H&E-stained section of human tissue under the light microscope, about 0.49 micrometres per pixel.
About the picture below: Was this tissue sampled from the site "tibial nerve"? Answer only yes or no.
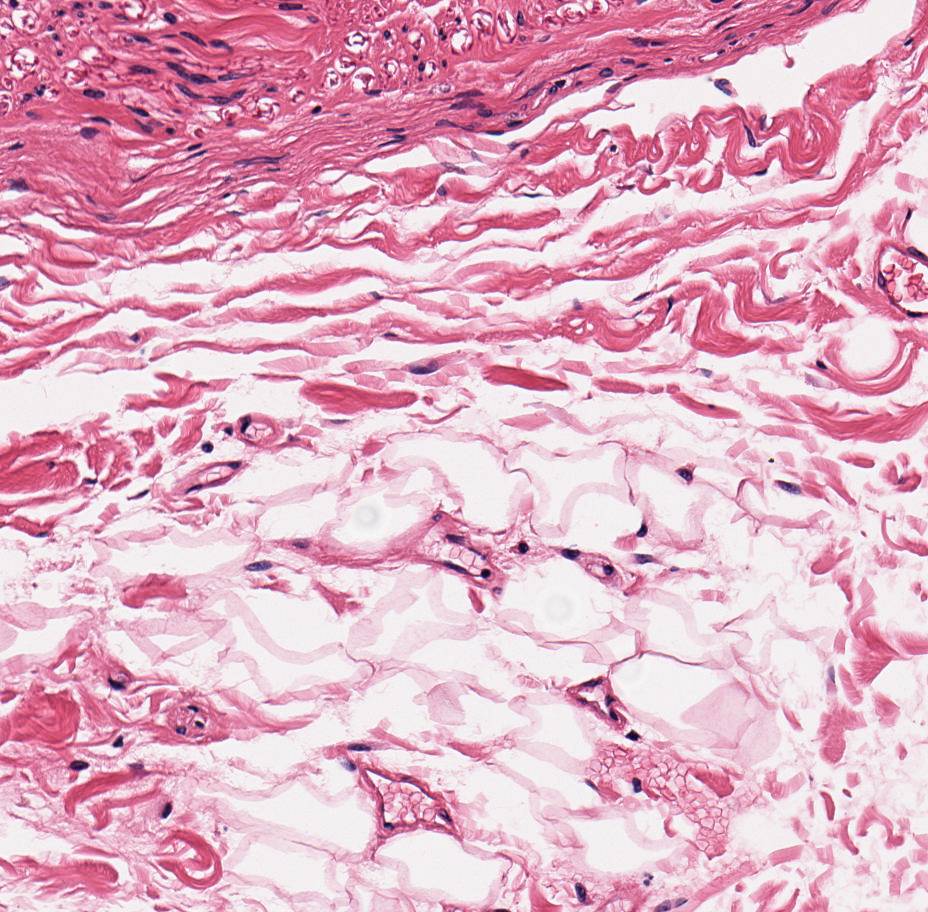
yes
